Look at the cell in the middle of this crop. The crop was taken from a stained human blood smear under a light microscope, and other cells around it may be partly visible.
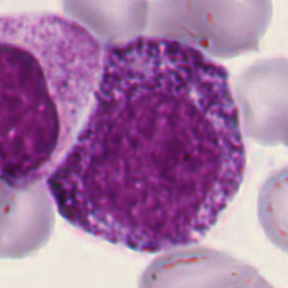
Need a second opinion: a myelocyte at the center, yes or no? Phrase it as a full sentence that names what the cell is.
No, the central cell is a promyelocyte; it should not be labelled a myelocyte.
